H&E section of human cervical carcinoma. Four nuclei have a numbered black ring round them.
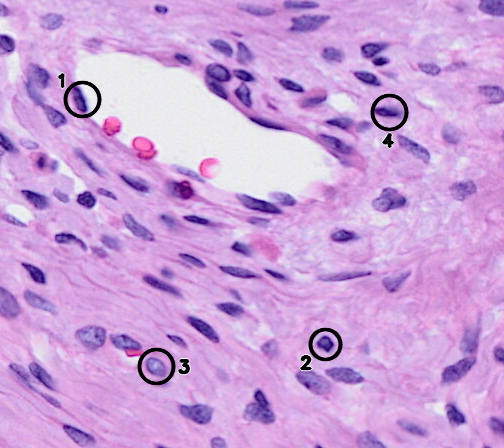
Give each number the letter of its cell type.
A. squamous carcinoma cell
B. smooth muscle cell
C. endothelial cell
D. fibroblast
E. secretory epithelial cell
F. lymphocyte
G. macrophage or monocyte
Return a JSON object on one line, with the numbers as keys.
{"1": "C", "2": "D", "3": "C", "4": "D"}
